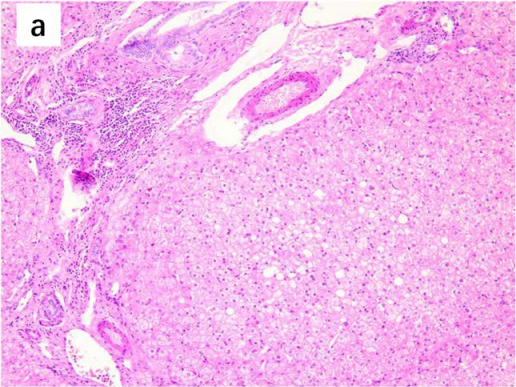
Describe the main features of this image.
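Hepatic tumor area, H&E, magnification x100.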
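Most of the field is a sheet of polygonal liver-like cells with pale, clear-looking pink cytoplasm and small round nuclei, scattered with round empty vacuoles of various sizes. The sheet shows no obvious lobular order. At the upper left lies a band of pink fibrous tissue carrying thick-walled arteries, a thin-walled vessel and small ducts, surrounded by crowded small dark round nuclei of lymphocytes.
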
